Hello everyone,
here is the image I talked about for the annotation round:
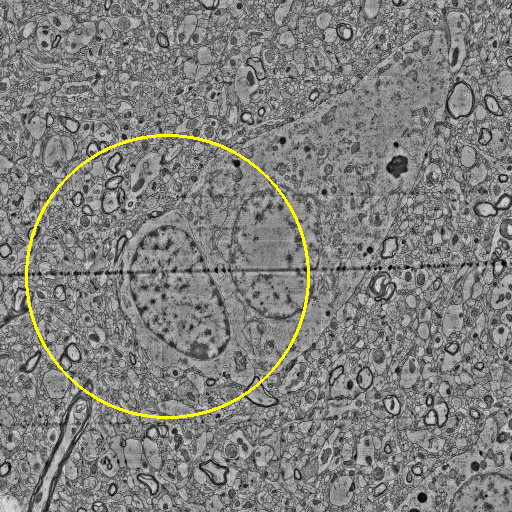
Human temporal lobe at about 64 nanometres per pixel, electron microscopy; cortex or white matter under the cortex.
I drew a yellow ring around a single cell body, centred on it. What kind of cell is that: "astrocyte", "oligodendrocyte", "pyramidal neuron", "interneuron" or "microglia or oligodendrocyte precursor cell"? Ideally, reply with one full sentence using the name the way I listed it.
The cell your yellow ring is centred on is a microglial cell or oligodendrocyte precursor cell, going by your list.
